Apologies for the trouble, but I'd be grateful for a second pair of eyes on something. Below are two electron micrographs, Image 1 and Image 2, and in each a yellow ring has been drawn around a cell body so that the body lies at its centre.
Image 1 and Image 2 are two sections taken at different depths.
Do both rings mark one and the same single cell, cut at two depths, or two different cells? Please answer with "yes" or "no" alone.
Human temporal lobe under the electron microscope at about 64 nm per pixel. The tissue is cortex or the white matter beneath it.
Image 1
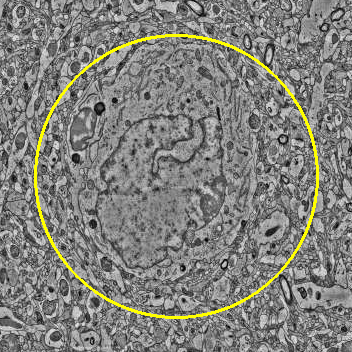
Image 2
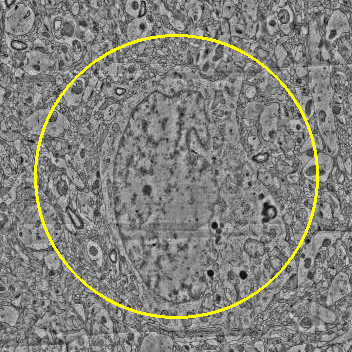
no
